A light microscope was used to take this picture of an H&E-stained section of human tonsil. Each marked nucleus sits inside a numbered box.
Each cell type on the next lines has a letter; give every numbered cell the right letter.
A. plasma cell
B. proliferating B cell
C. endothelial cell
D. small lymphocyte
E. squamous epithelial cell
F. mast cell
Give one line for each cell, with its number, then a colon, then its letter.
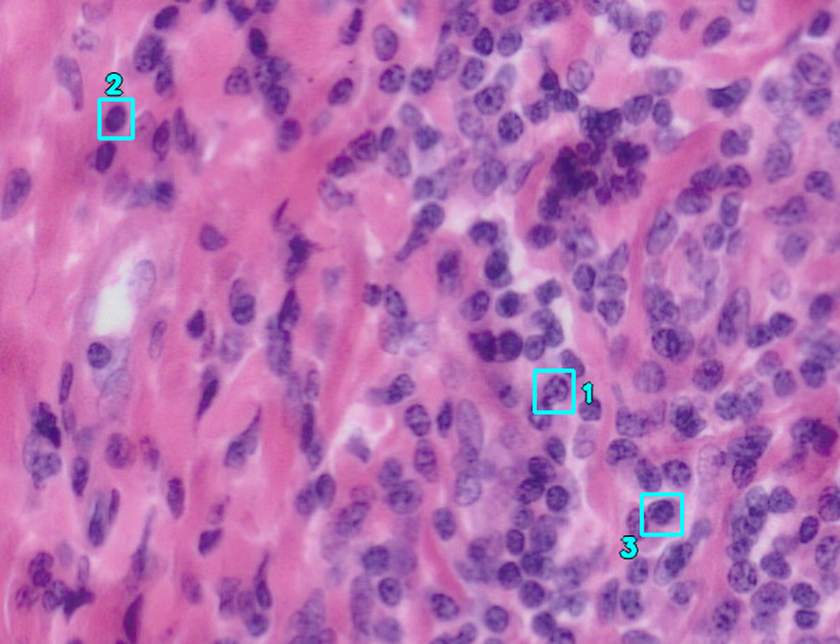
1: A
2: F
3: A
